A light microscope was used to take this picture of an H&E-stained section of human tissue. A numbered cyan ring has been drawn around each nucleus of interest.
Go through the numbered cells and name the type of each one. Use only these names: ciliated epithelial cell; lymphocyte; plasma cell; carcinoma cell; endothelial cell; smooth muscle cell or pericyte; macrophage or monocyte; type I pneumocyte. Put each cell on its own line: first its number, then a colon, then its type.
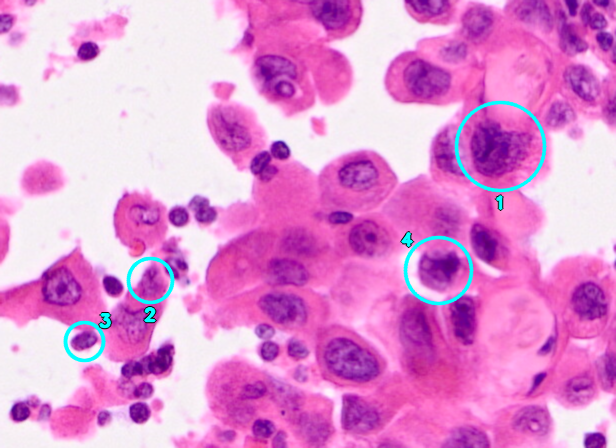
1: carcinoma cell
2: carcinoma cell
3: lymphocyte
4: carcinoma cell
